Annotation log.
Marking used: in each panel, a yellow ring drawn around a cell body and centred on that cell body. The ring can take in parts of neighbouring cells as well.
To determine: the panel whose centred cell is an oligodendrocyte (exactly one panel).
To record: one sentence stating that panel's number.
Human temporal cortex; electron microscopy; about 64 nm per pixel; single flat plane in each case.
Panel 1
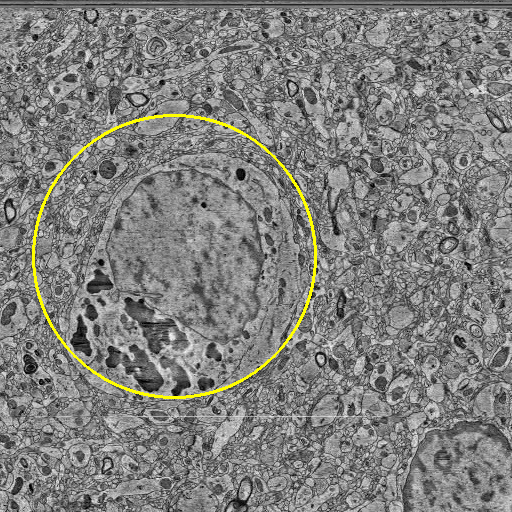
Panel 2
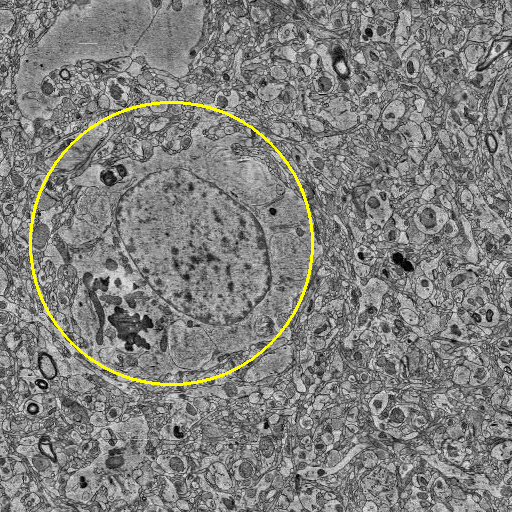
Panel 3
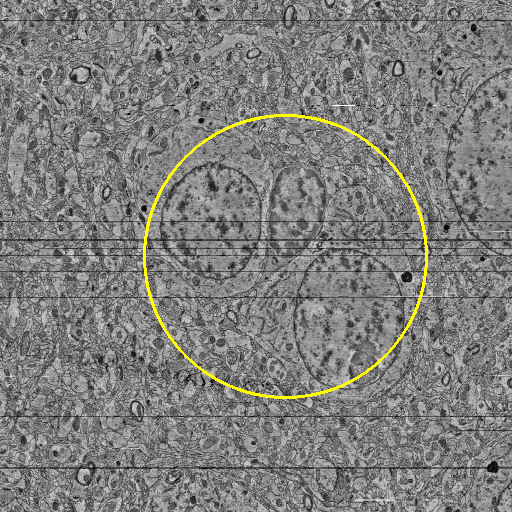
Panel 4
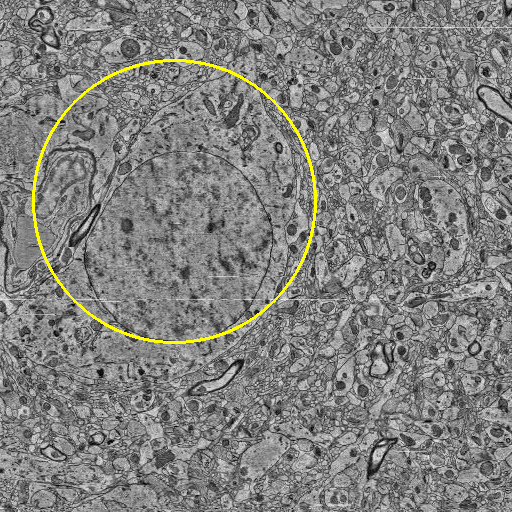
Panel 3 shows it at the centre of its ring.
